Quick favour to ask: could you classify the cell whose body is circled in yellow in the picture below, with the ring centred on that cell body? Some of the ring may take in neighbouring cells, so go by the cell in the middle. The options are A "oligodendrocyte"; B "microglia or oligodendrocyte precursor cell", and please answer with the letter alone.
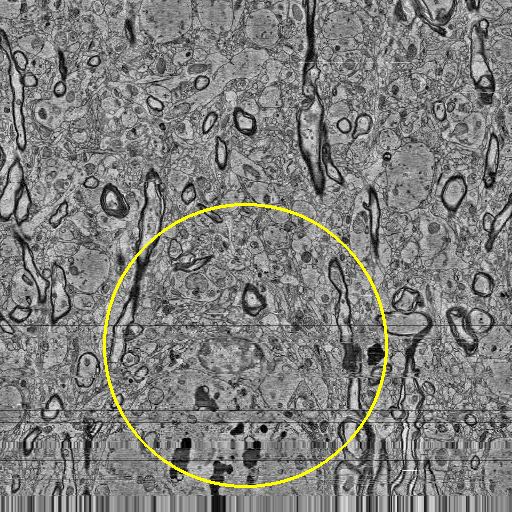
A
